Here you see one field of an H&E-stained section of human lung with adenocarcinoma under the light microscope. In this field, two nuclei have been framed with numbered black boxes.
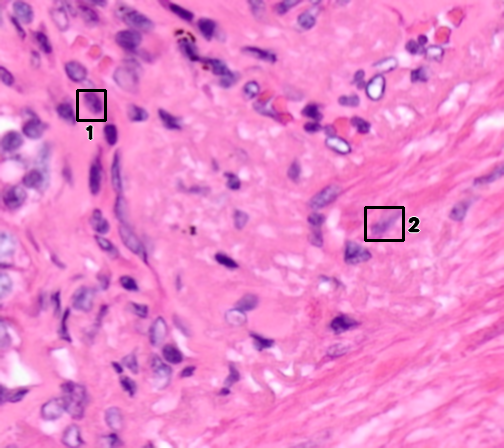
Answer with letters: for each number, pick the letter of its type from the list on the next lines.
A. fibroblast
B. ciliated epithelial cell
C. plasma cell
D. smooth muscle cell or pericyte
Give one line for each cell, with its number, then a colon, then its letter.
1: C
2: D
